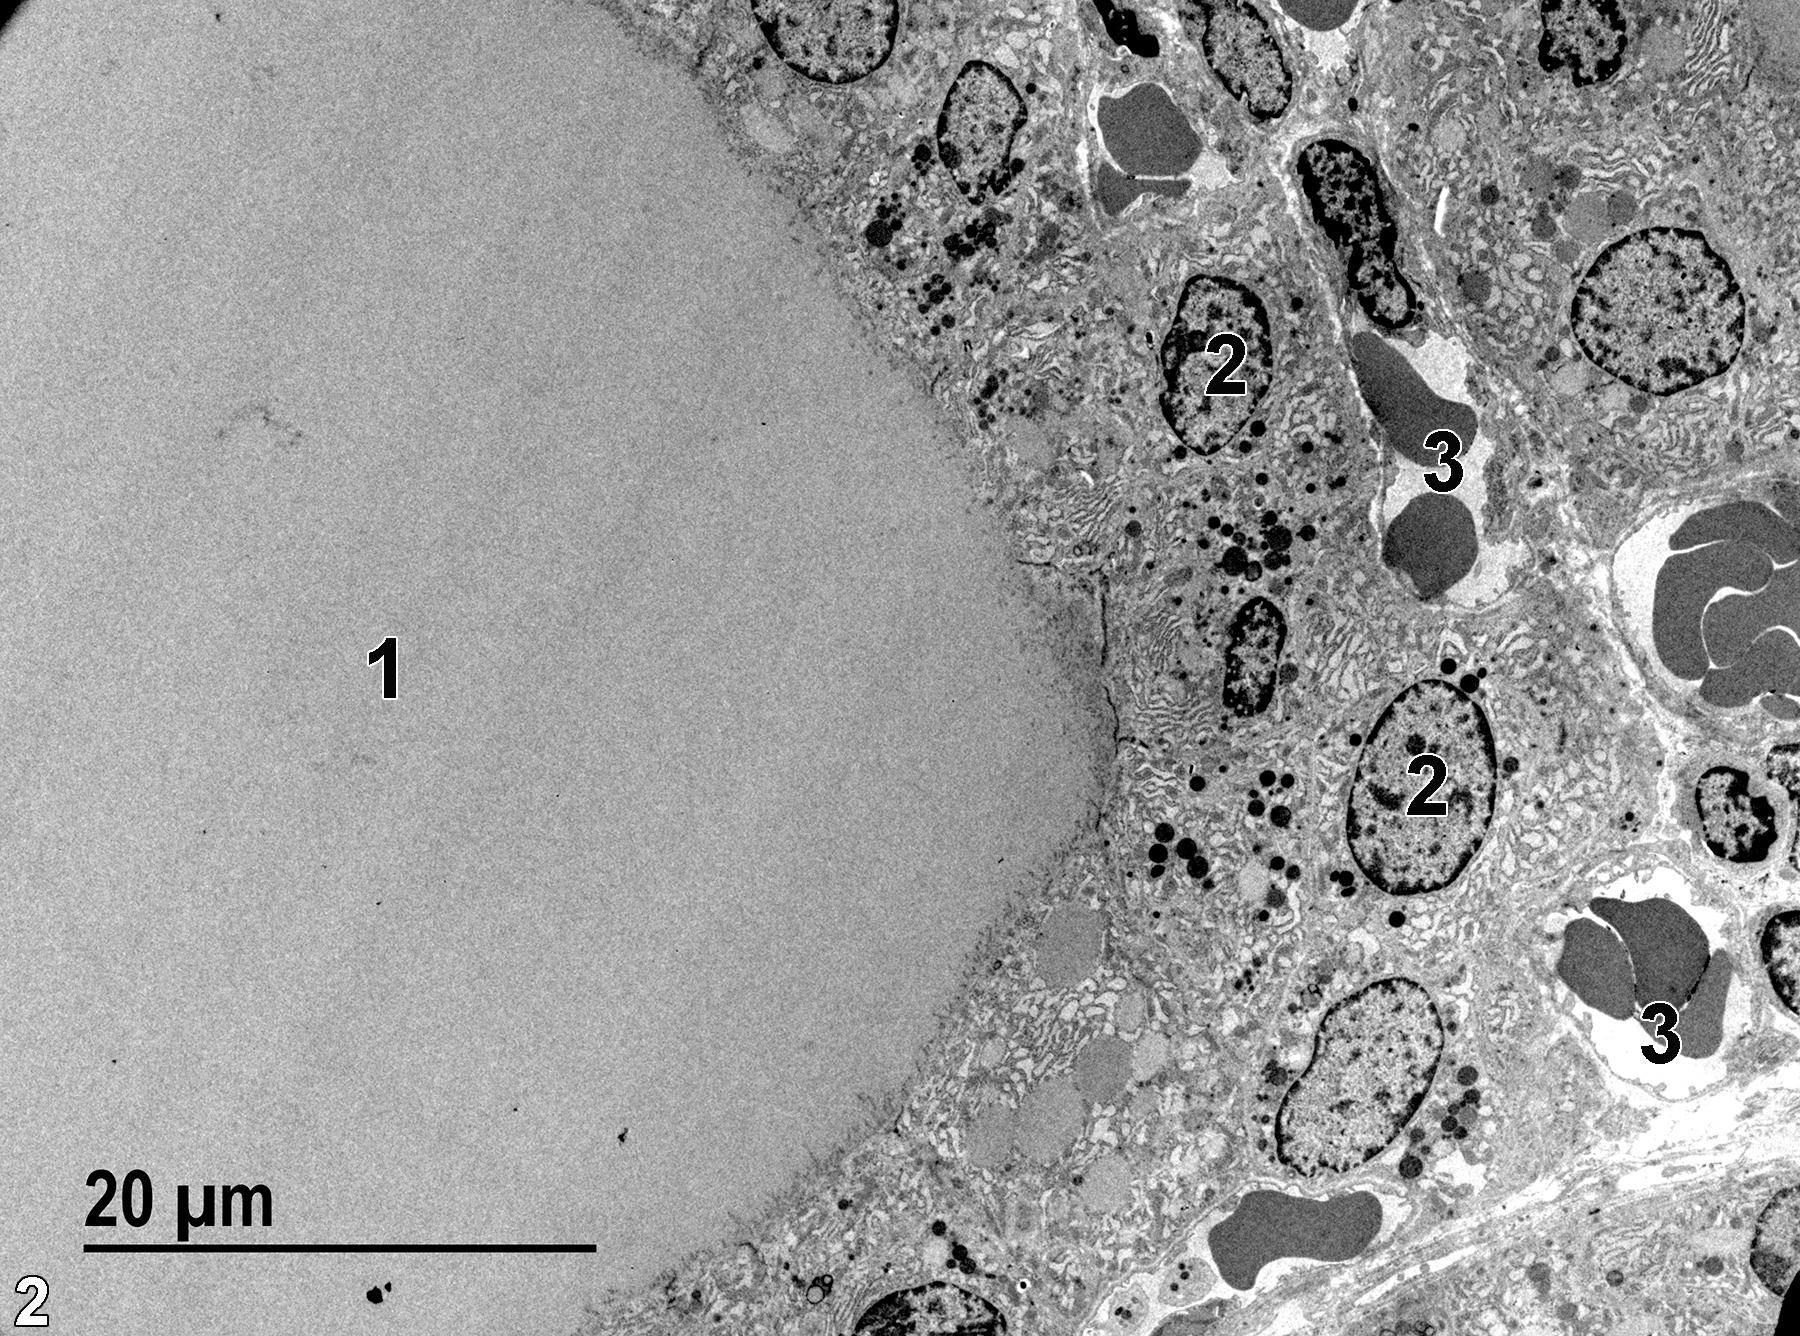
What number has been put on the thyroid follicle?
Number 1.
